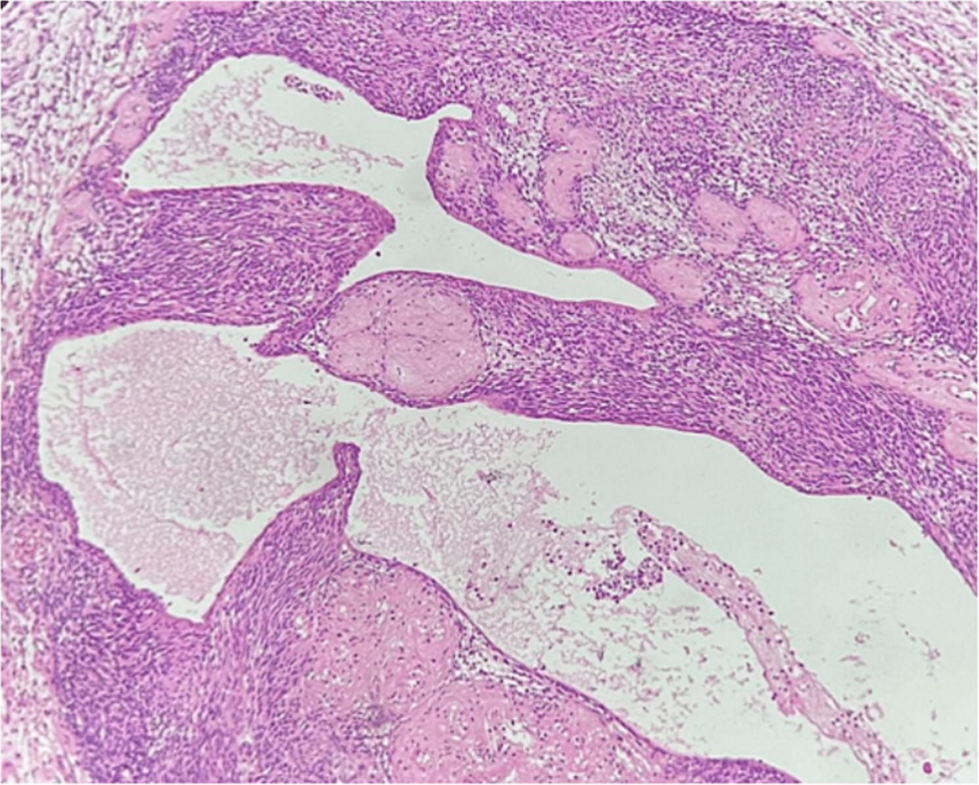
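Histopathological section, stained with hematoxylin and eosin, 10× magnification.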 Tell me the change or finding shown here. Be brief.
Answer: hyalinization of blood vessels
